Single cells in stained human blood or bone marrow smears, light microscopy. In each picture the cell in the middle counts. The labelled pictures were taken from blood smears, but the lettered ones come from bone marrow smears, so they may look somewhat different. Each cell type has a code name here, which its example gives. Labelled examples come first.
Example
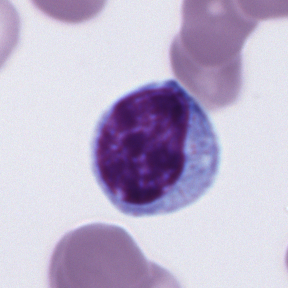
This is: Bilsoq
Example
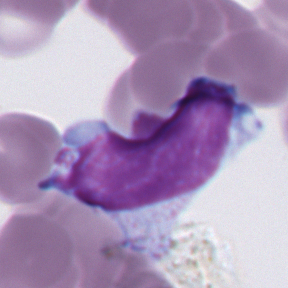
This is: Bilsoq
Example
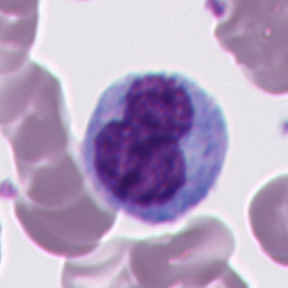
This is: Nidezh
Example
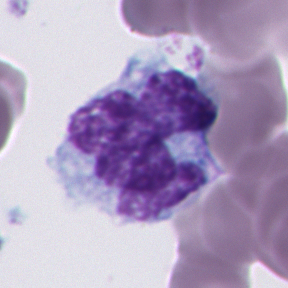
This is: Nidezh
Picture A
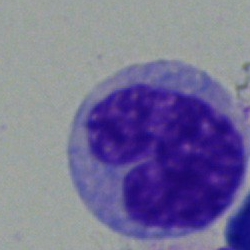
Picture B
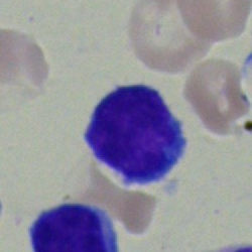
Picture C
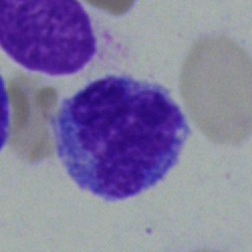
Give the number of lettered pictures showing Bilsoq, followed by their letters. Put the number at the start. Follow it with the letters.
1, namely B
